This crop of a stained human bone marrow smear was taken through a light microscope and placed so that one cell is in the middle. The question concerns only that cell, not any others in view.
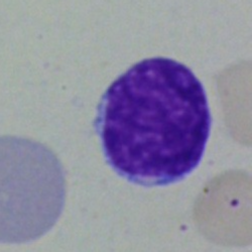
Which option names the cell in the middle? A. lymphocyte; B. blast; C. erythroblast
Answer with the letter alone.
A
